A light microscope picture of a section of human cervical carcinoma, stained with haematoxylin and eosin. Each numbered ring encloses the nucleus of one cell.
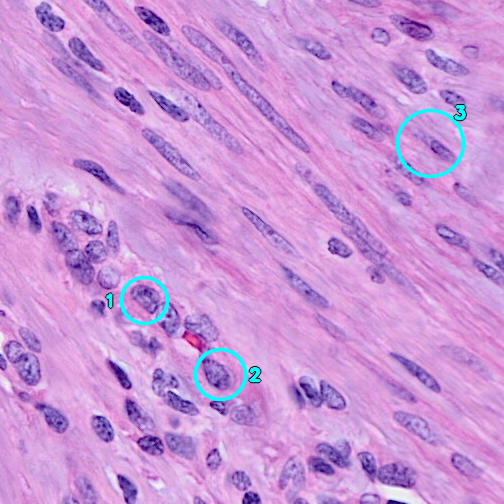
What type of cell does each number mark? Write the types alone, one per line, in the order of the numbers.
endothelial cell
endothelial cell
smooth muscle cell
